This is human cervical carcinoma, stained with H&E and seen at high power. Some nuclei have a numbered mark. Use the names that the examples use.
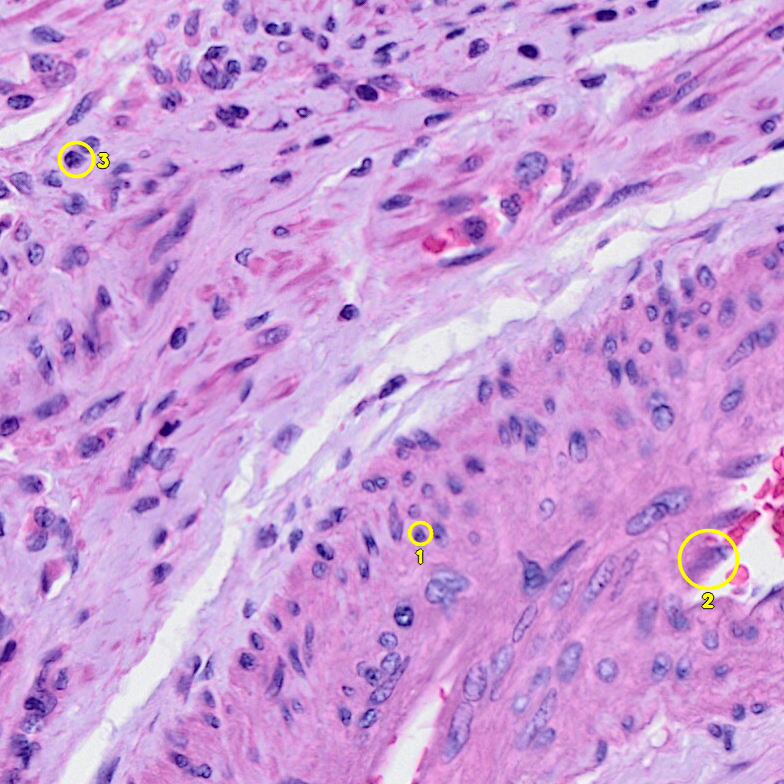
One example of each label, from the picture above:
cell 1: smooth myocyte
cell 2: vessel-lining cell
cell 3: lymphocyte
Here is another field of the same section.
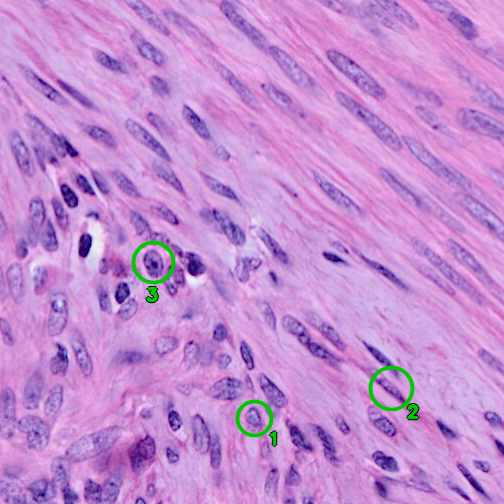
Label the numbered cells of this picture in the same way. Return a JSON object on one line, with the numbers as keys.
{"1": "smooth myocyte", "2": "smooth myocyte", "3": "lymphocyte"}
